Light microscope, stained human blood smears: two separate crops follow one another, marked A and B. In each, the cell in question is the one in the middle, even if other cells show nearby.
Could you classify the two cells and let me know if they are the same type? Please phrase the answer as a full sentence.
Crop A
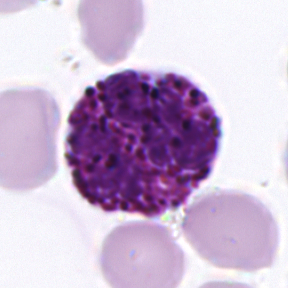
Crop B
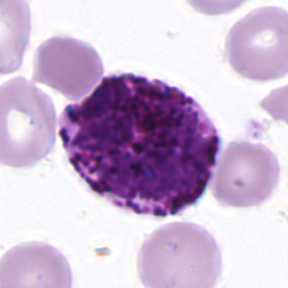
Yes, as an answer for this item, both crops show basophils.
